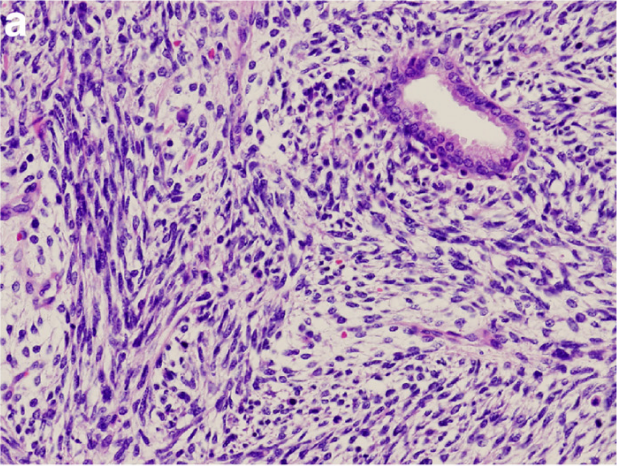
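This is a tumor made of densely crowded cells with dark purple, elongated to oval nuclei and little pale cytoplasm. The cells run in intersecting streams and bundles, some spindle-shaped and others plumper and oval. Scattered red blood cells lie among them. The picture fits a sarcomatoid tumor of oval to spindle cells.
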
